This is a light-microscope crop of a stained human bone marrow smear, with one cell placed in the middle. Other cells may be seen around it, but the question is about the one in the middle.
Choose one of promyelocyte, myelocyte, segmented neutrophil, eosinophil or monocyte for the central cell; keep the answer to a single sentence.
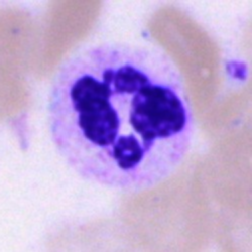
The middle cell in this particular crop is a segmented neutrophil.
